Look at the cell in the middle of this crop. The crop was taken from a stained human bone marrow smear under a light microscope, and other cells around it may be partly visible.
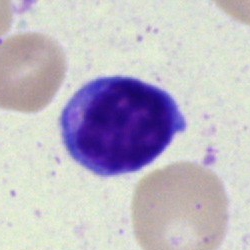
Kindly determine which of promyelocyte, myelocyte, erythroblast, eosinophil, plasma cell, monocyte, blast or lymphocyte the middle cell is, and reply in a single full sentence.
The cell marked by its central position in the crop is a lymphocyte.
